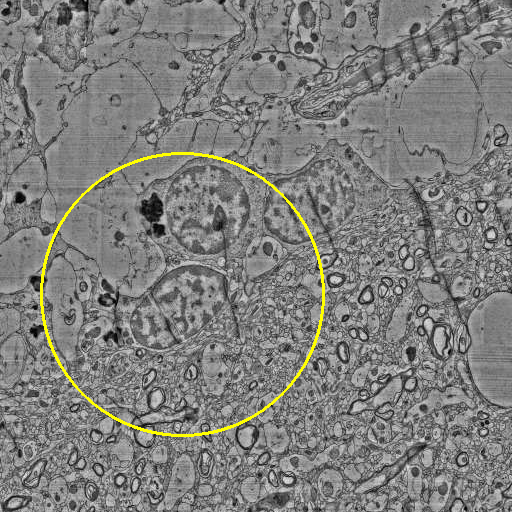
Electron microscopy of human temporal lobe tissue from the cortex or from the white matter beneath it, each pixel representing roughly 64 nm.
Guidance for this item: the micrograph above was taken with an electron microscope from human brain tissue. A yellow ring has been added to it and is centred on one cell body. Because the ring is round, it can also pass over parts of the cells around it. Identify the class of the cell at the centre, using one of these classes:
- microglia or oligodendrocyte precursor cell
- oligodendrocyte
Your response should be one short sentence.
The ring surrounds the body of a microglial cell or oligodendrocyte precursor cell.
